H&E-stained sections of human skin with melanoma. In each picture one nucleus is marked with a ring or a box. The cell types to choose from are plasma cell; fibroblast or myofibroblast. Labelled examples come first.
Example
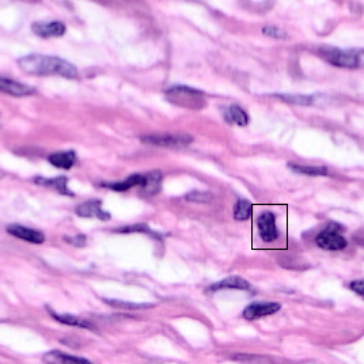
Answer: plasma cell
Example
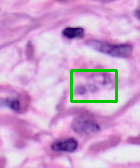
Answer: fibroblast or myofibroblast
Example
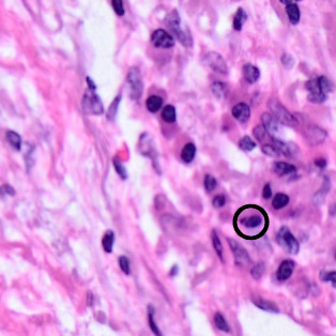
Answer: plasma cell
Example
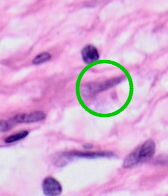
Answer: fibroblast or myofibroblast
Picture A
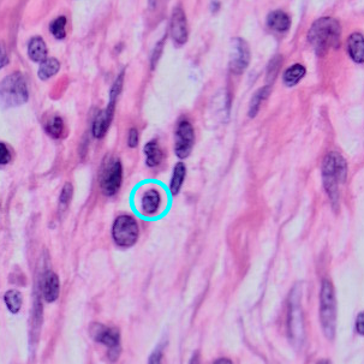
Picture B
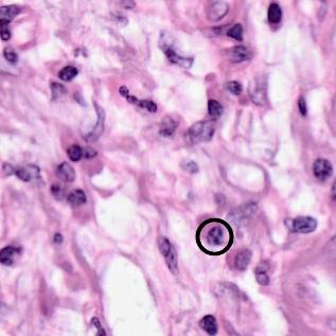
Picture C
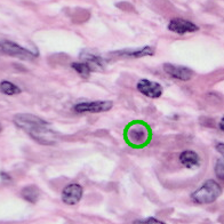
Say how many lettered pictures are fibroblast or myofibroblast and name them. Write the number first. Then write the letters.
0, none of them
